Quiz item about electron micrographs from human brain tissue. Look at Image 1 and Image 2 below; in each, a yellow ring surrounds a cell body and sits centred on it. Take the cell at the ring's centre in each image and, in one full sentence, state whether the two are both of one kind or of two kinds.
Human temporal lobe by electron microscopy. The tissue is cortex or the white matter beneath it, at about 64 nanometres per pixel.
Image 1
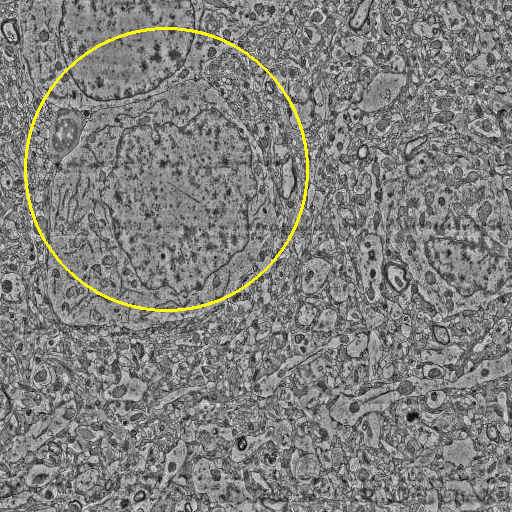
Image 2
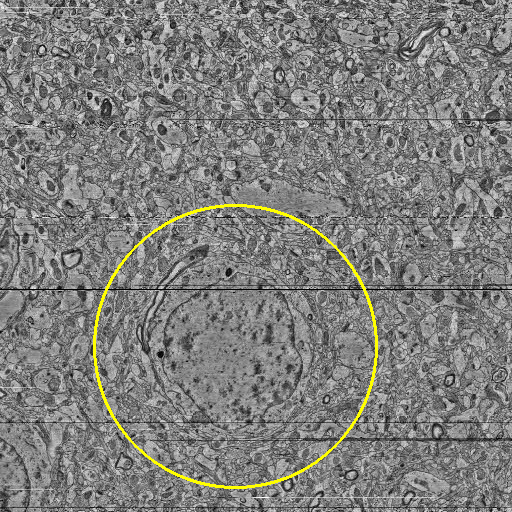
In Image 1 and Image 2, the cells at the ring centres are of two kinds.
